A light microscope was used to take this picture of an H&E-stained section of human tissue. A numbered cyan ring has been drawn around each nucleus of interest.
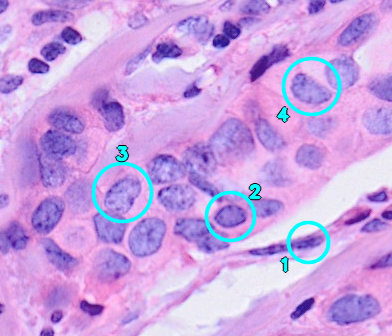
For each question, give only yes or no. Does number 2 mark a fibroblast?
no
